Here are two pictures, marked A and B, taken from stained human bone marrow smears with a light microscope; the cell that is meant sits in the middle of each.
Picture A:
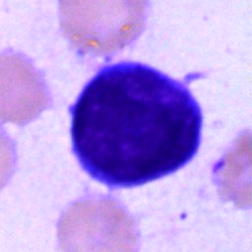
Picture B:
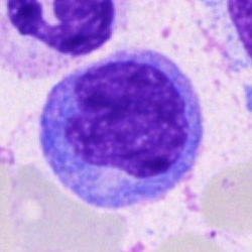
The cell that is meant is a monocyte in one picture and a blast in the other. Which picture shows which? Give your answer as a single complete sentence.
Picture A is of a blast, and picture B is of a monocyte.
